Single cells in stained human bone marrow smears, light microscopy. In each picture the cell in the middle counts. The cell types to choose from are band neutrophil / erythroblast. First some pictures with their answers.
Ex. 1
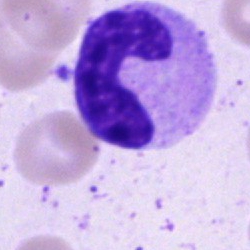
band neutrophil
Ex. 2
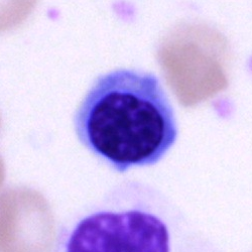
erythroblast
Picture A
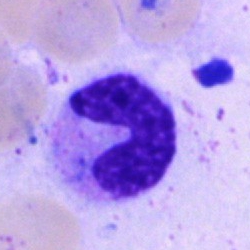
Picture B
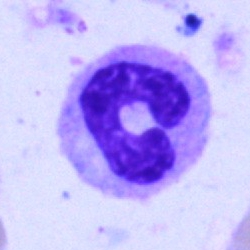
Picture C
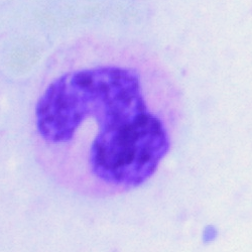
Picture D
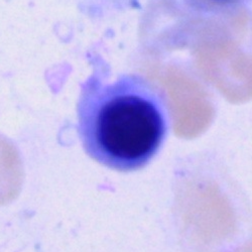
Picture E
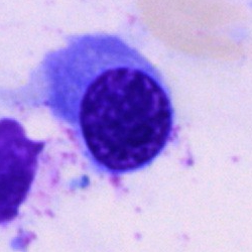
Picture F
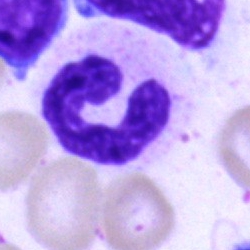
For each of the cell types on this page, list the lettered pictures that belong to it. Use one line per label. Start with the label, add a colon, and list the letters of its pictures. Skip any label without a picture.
band neutrophil: A, B, C, F
erythroblast: D, E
